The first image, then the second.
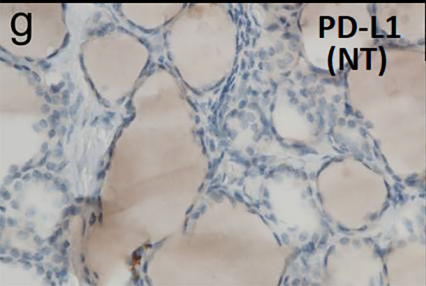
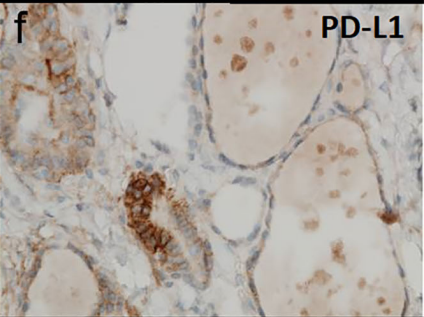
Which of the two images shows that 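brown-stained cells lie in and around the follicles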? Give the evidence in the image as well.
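Second image: a group of brown-stained cells lies beside follicles and brown cells float in the colloid. That points to this answer: the second image.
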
